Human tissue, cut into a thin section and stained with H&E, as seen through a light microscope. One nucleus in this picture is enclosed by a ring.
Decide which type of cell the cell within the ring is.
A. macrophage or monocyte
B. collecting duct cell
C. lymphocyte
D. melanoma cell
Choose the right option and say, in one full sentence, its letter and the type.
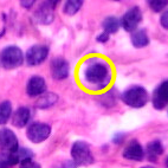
Option C wins here: the cell within the ring is a lymphocyte.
